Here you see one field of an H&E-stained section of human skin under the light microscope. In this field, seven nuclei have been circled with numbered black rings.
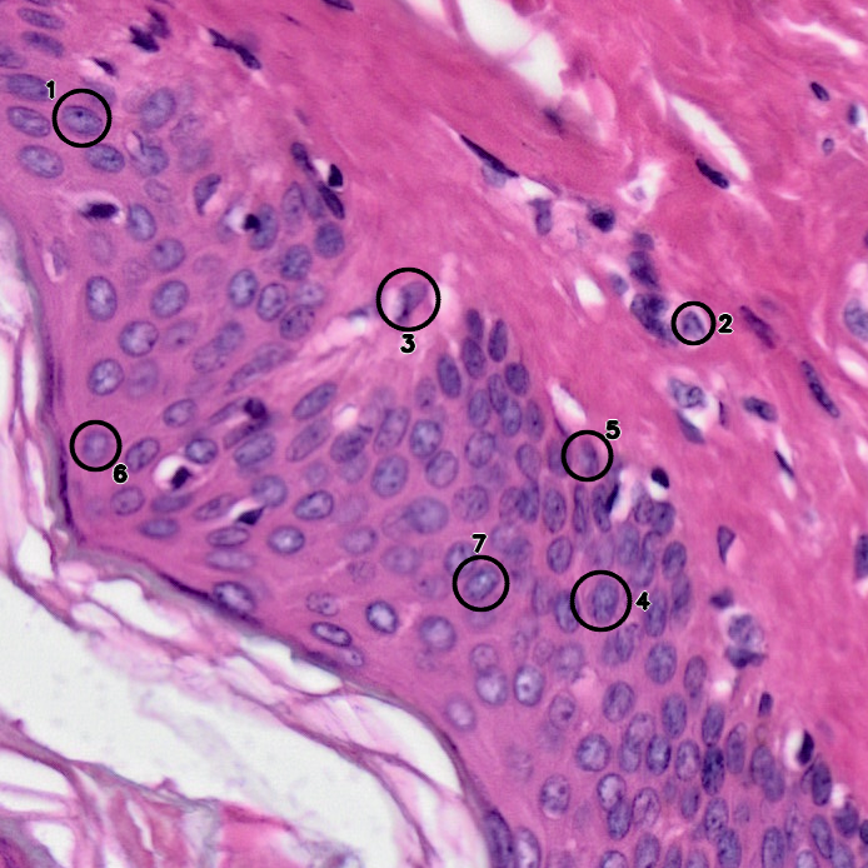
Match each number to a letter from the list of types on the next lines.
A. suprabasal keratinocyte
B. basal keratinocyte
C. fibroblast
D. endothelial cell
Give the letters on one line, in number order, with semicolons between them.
A; D; C; A; B; A; A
